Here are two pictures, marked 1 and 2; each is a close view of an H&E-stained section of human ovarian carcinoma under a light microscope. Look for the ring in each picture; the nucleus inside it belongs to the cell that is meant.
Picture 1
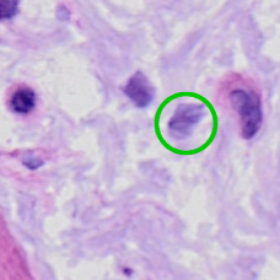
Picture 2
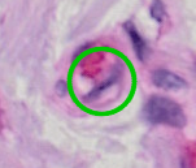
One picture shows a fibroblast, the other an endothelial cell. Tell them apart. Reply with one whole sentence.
Picture 1 shows a fibroblast and picture 2 shows an endothelial cell.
